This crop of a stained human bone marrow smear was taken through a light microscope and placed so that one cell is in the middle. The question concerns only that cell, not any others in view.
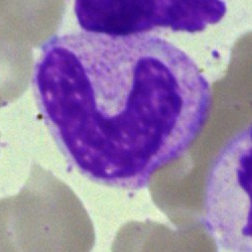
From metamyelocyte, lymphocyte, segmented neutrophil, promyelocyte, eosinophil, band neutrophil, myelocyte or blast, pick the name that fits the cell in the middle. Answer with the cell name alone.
band neutrophil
